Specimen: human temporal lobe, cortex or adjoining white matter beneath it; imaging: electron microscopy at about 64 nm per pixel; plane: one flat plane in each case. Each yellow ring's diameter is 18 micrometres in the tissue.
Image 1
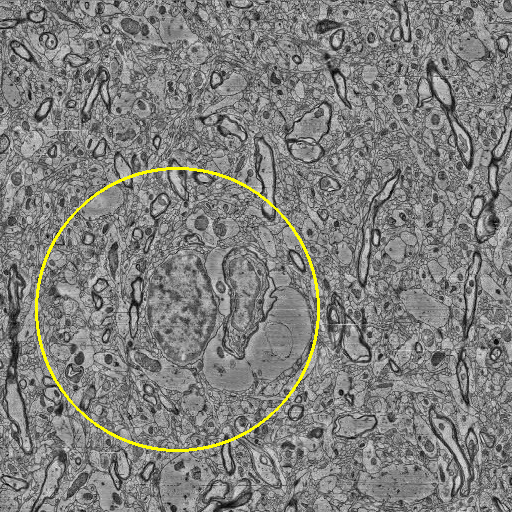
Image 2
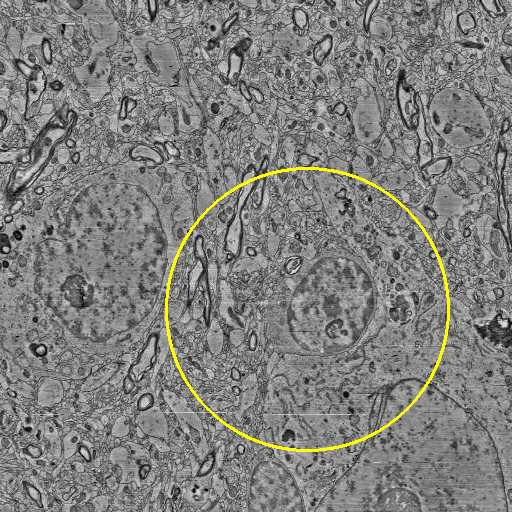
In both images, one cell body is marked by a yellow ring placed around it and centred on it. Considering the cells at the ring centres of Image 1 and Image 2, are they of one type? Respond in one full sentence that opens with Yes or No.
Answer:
Yes, a single type applies to the ring-centred cells of both Image 1 and Image 2.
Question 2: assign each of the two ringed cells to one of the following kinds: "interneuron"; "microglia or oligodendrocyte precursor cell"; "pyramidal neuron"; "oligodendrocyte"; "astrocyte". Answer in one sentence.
The cell at the ring centre is an oligodendrocyte in both pictures.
